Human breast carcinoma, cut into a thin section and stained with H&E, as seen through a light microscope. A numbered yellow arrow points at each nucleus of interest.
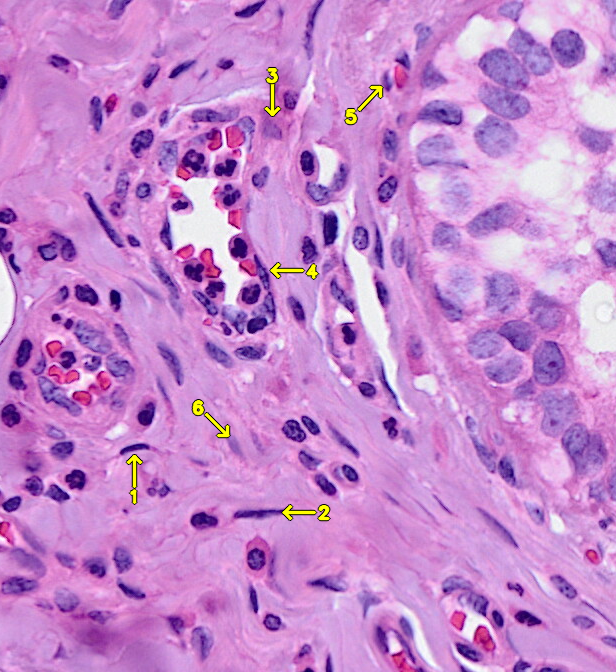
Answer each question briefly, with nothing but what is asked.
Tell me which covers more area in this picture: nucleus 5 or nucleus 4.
4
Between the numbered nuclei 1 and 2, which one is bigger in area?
2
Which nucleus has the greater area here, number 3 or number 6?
3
